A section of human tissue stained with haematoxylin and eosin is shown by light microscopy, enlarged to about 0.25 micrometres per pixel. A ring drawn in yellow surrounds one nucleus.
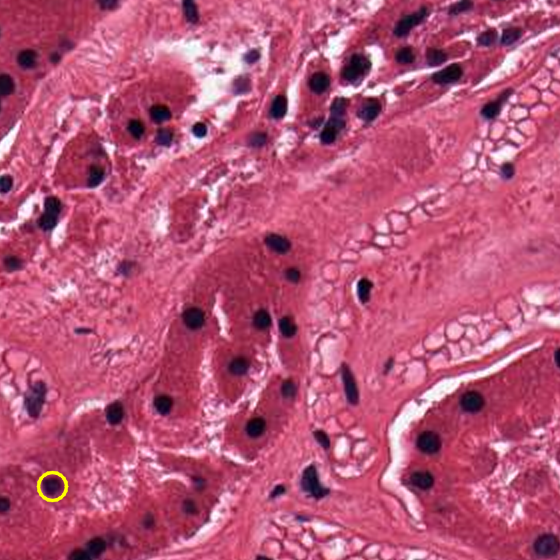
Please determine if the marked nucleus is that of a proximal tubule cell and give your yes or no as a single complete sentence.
Yes, in this section the marked nucleus belongs to a proximal tubule cell.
